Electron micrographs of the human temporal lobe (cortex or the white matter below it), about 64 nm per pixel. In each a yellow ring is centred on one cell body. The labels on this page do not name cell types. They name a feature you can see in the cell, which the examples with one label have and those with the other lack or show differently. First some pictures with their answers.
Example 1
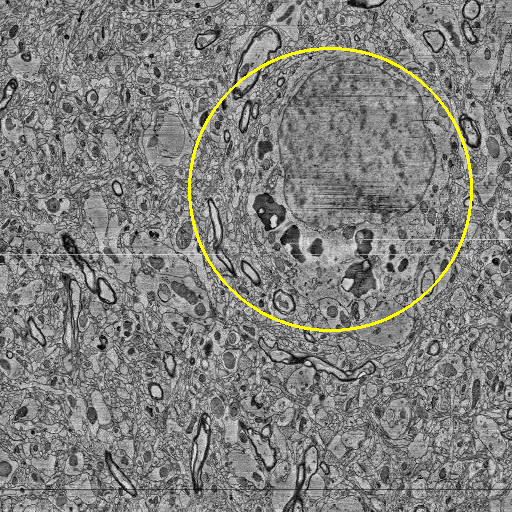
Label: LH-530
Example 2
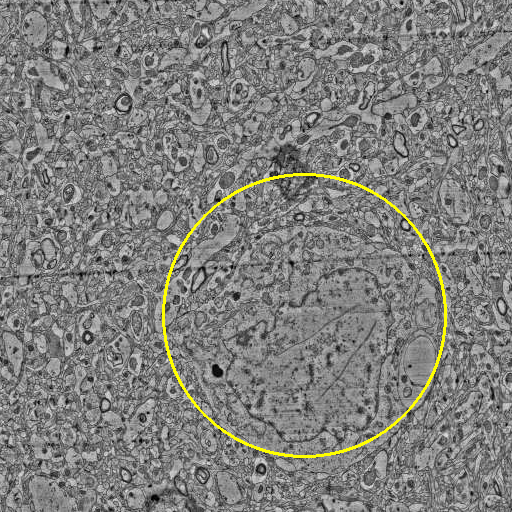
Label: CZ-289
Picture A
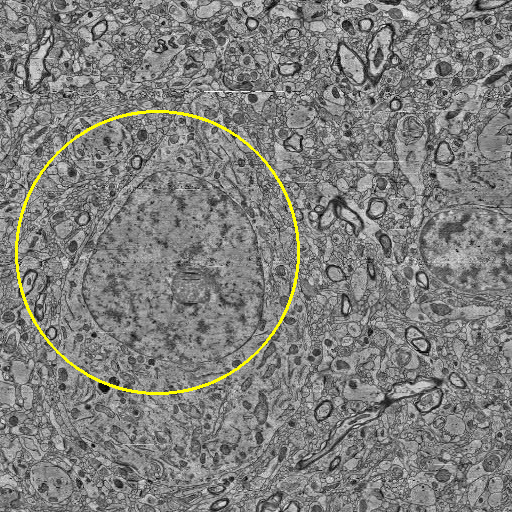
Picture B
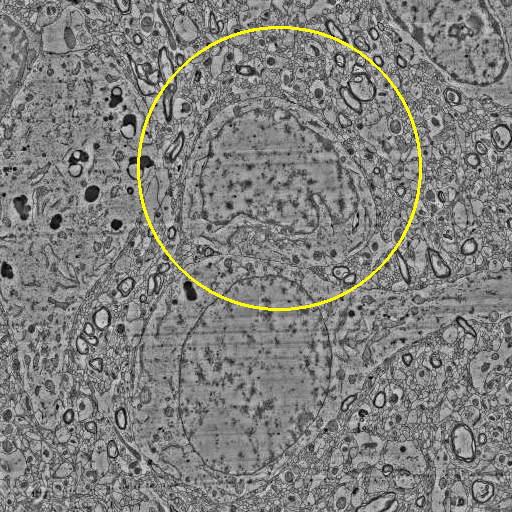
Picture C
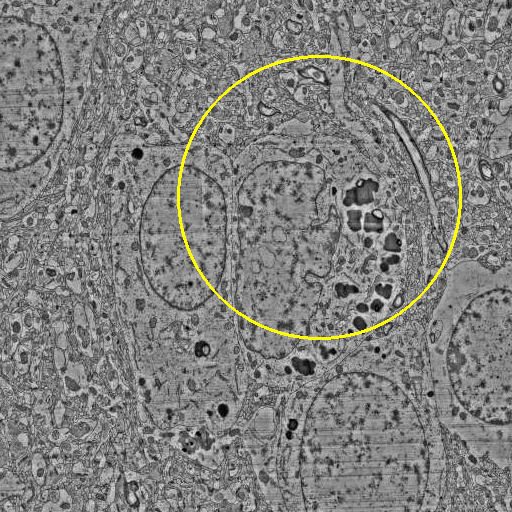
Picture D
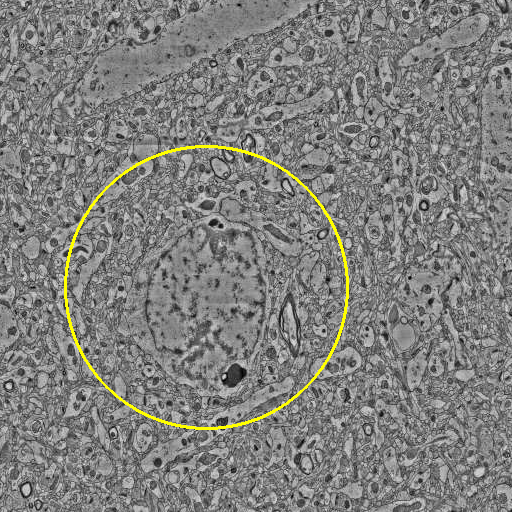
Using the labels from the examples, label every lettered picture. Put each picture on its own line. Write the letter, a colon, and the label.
A: LH-530
B: CZ-289
C: CZ-289
D: LH-530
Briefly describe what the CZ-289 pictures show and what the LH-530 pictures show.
CZ-289, deeply folded or indented nuclear envelopes; LH-530, smooth nuclear envelopes without deep folds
